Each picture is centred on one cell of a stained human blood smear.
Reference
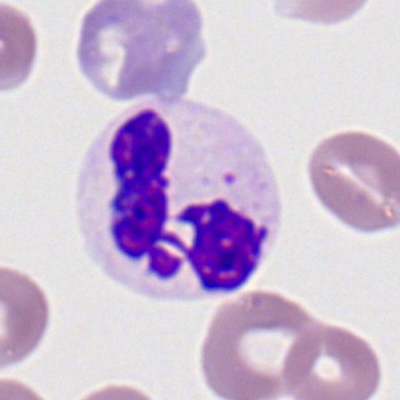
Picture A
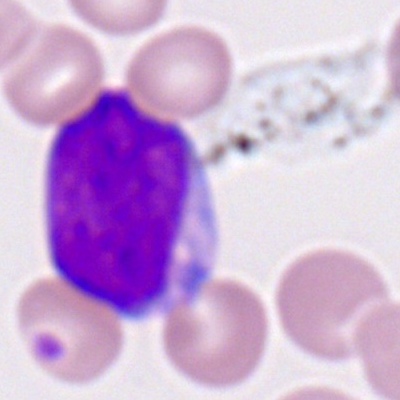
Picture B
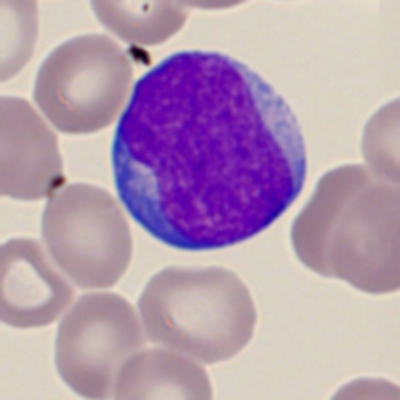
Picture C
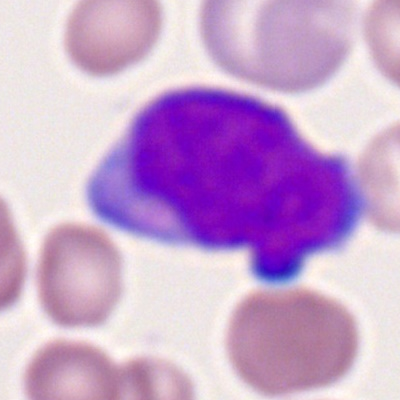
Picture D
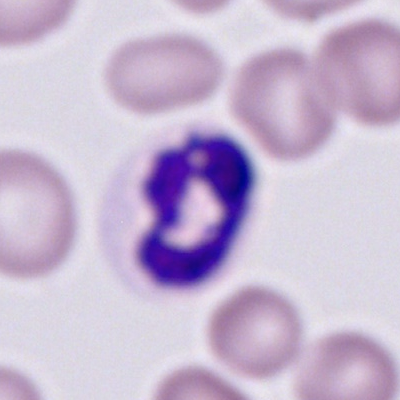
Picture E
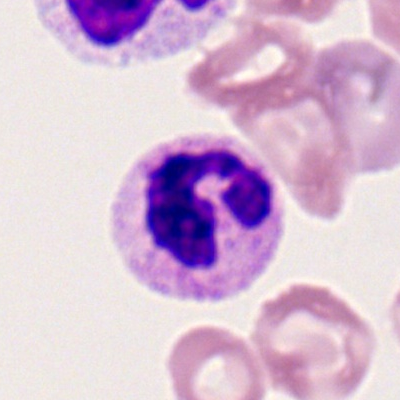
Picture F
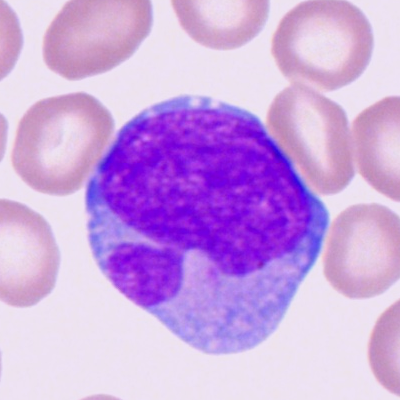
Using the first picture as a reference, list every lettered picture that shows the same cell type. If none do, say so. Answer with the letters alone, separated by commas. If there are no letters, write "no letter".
D, E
